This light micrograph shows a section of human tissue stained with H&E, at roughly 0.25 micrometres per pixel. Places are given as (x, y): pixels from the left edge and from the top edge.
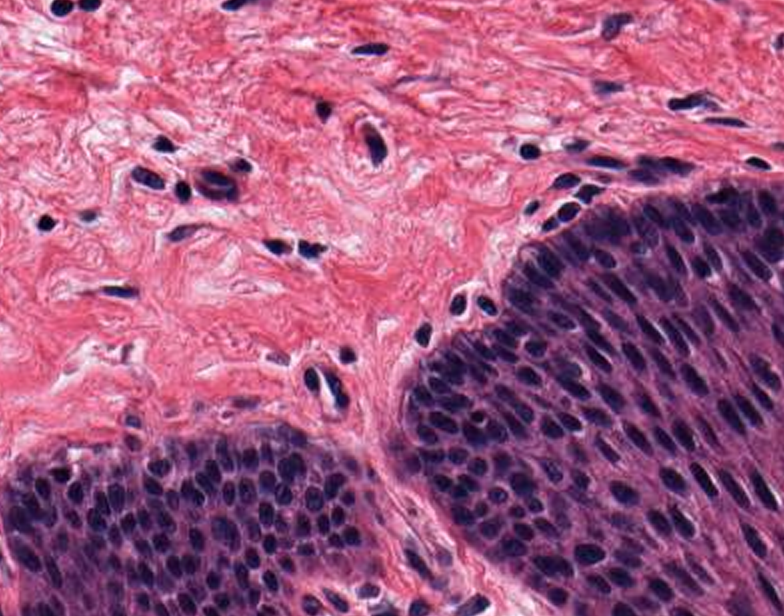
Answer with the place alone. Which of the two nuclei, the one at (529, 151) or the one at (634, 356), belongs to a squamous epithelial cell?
(634, 356)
